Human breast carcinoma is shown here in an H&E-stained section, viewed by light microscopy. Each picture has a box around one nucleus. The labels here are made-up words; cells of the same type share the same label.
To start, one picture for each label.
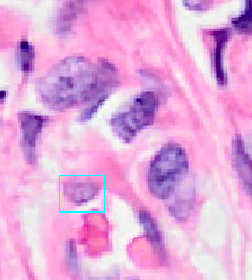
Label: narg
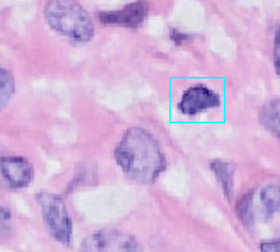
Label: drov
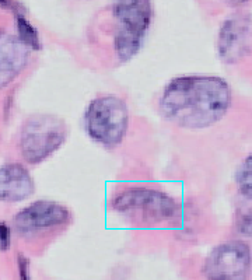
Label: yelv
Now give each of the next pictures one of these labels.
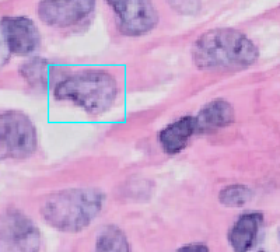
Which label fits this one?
yelv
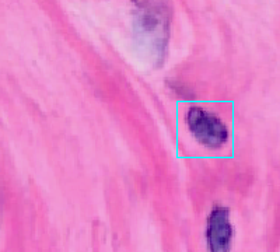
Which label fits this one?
drov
